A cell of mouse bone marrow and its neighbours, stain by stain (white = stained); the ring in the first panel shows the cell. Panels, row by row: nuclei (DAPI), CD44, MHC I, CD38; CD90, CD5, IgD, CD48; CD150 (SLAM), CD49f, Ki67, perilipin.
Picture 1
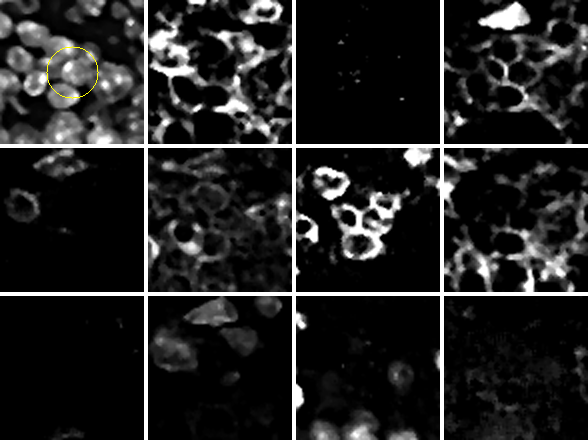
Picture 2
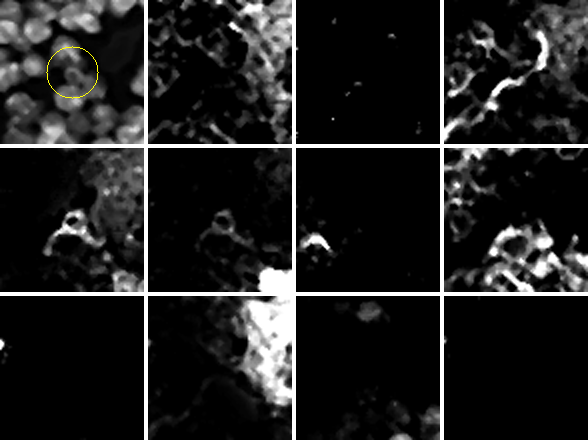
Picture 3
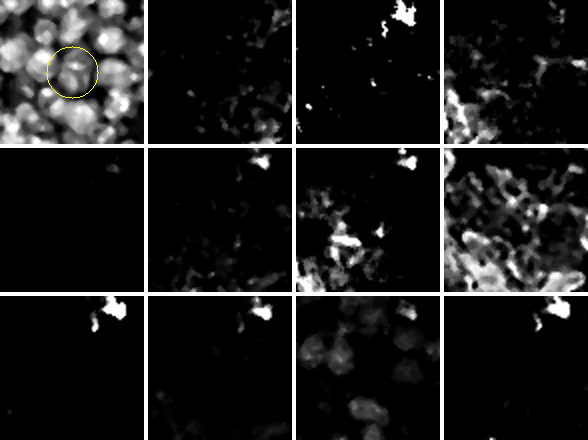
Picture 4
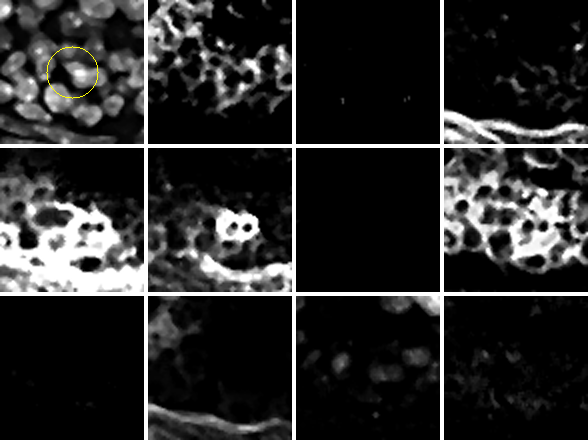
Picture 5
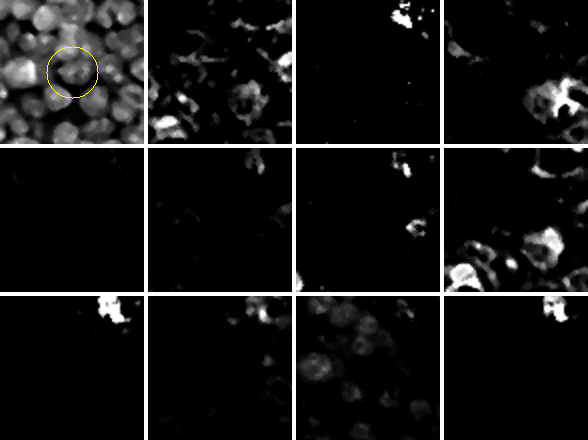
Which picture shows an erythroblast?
Picture 3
